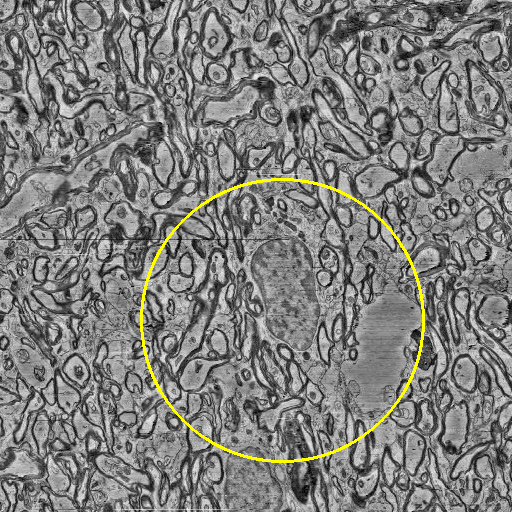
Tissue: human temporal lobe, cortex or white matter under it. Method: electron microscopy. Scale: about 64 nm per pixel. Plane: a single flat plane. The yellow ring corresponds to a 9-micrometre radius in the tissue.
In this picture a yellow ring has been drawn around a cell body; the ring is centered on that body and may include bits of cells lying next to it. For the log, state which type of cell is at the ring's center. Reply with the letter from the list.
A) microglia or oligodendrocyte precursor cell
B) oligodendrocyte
A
